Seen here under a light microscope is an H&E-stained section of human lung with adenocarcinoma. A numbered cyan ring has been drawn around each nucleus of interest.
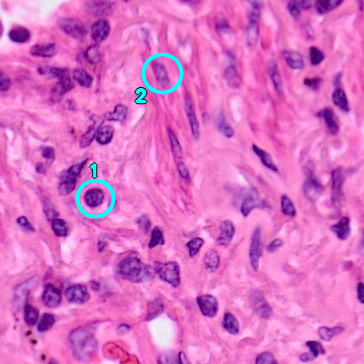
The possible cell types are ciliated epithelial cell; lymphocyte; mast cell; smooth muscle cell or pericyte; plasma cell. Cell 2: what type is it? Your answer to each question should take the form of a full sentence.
The cell numbered 2 represents a smooth muscle cell or pericyte.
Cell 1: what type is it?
The cell marked with number 1 is a lymphocyte.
